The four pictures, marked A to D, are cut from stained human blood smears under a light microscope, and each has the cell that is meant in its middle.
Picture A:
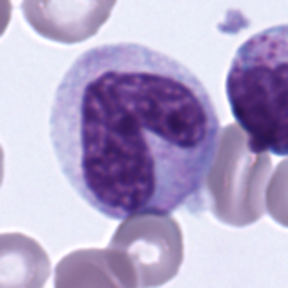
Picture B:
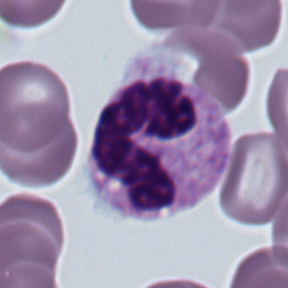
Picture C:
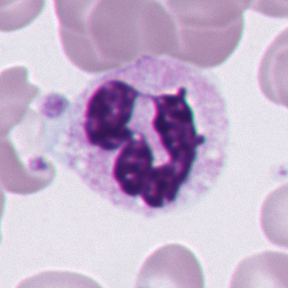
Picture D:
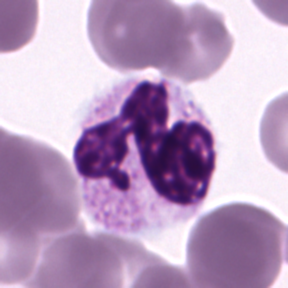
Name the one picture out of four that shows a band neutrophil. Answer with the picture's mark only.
A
